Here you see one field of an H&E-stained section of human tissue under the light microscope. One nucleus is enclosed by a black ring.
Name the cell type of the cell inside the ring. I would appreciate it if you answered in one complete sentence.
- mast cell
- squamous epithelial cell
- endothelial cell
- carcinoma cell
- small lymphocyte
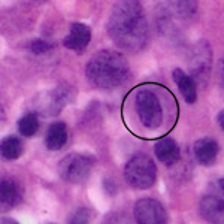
In short, the cell inside the ring on this section is a squamous epithelial cell.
